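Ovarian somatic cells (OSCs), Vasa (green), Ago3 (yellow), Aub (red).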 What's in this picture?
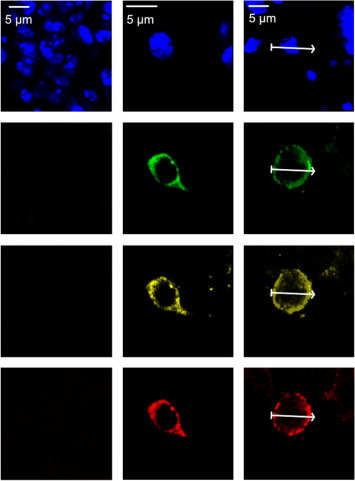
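In the left column, many closely packed blue nuclei are visible, with almost no green, yellow or red signal. In the two right-hand columns, single cells with one blue nucleus each show green, yellow and red signal gathered in a ring around the nucleus, forming a perinuclear rim of nuage-like material. The three colours outline the same ring, while the nucleus itself stays largely free of them.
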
